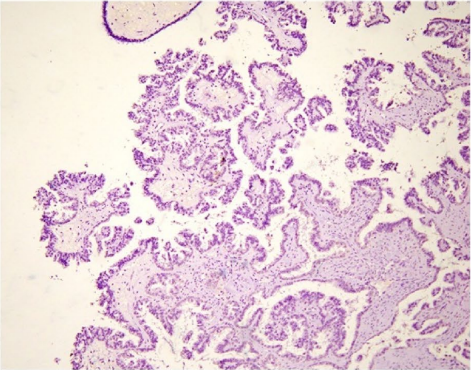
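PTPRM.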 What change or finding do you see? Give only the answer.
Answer: Borderline epithelial ovarian tumors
